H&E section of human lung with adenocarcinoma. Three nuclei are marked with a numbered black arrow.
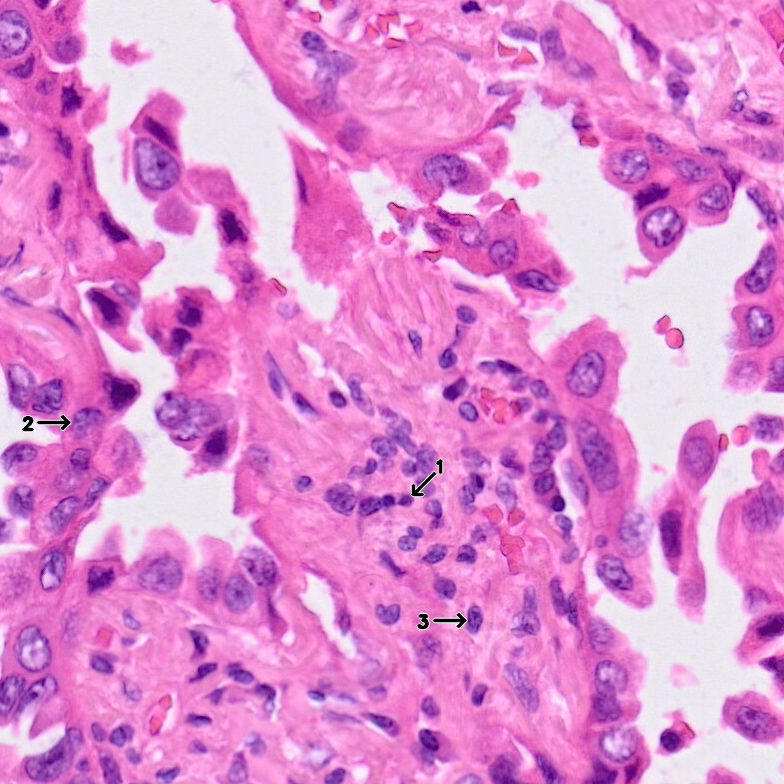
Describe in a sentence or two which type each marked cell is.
Cell 1 is a lymphocyte, cell 2 is a carcinoma cell and cell 3 is a lymphocyte.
